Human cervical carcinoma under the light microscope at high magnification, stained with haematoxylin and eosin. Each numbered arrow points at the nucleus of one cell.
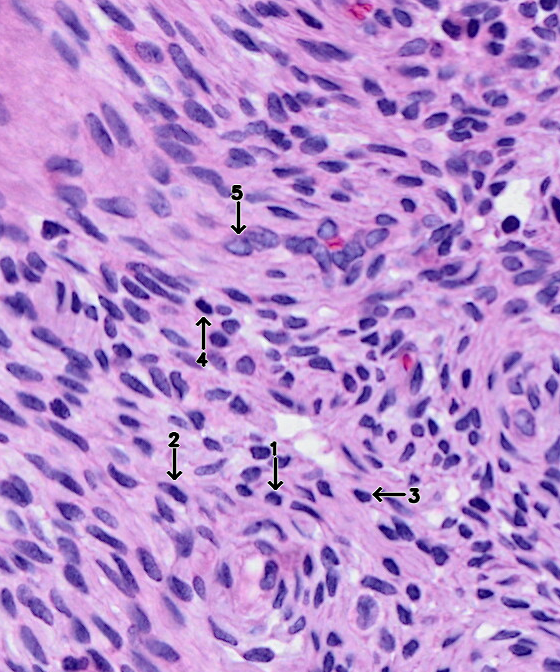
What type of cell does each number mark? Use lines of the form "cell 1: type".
cell 1: fibroblast
cell 2: fibroblast
cell 3: fibroblast
cell 4: lymphocyte
cell 5: endothelial cell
